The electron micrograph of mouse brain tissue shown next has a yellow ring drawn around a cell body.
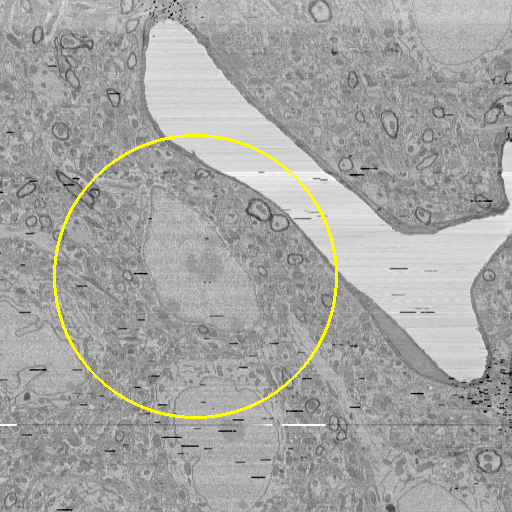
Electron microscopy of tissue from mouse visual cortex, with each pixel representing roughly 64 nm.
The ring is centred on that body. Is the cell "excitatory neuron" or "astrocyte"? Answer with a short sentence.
The cell in question is an astrocyte.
